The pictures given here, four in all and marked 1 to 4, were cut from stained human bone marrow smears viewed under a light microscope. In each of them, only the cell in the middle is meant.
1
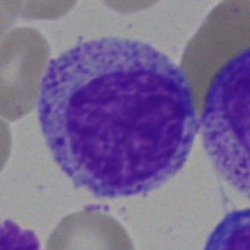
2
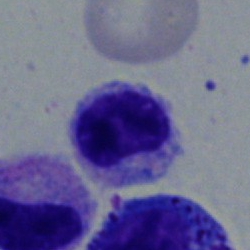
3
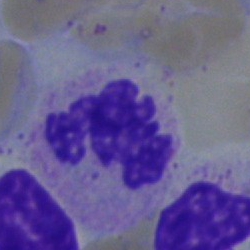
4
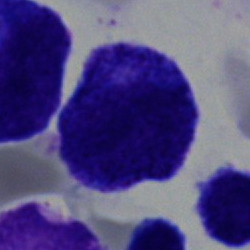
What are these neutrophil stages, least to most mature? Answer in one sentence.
From earliest to most mature stage, the crops go crop 4 (a promyelocyte), crop 1 (a myelocyte), crop 2 (a metamyelocyte) and crop 3 (a segmented neutrophil).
